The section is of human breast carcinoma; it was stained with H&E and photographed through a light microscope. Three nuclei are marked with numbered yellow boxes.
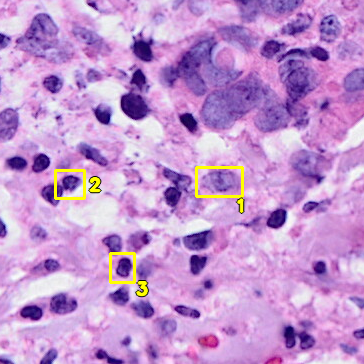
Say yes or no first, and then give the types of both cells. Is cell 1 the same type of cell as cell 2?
No, cell 1 is a macrophage, monocyte or dendritic cell and cell 2 is a lymphocyte.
